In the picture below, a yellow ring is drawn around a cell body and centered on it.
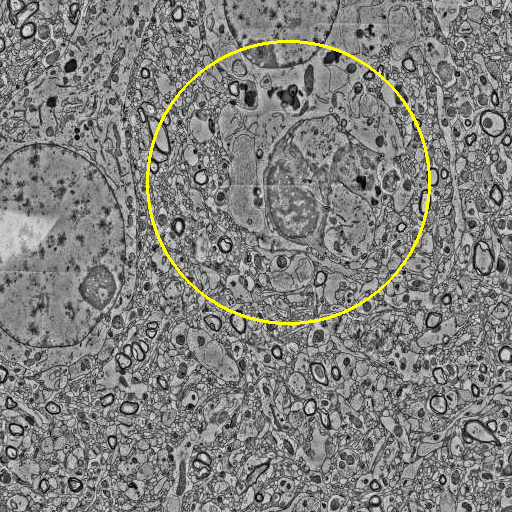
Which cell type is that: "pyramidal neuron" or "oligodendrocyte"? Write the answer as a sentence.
The cell centered in the ring is an oligodendrocyte.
